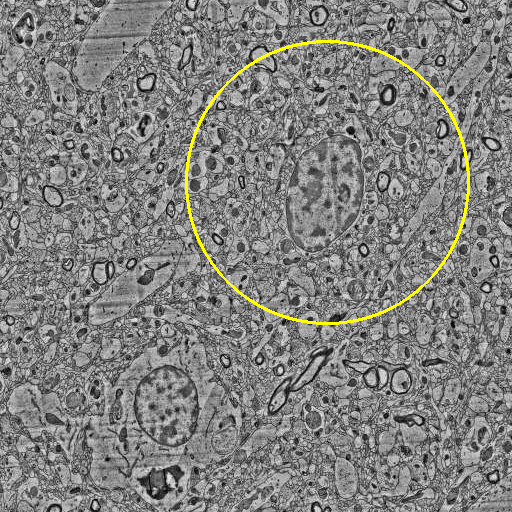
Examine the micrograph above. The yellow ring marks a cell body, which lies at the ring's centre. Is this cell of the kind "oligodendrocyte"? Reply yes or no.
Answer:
no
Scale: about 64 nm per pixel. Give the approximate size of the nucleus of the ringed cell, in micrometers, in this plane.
The ringed cell's nucleus is about 8 micrometres long and 5 micrometres wide in this plane.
